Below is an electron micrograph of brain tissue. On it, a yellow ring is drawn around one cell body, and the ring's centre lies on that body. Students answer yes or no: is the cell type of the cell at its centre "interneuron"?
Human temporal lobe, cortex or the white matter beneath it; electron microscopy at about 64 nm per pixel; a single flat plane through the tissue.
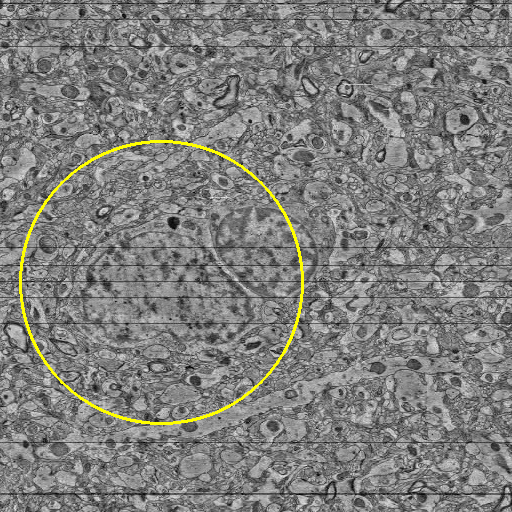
yes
